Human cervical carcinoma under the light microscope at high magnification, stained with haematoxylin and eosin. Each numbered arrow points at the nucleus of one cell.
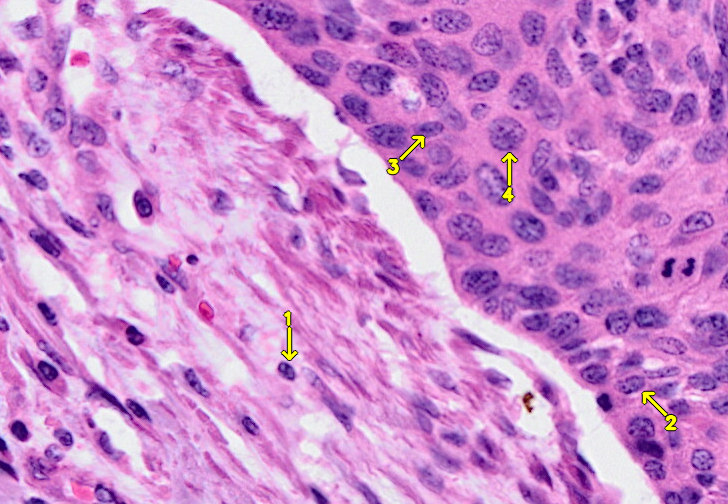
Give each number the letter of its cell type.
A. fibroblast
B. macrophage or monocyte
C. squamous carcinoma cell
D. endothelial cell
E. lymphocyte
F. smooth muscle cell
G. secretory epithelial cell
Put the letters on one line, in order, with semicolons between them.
E; C; C; C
